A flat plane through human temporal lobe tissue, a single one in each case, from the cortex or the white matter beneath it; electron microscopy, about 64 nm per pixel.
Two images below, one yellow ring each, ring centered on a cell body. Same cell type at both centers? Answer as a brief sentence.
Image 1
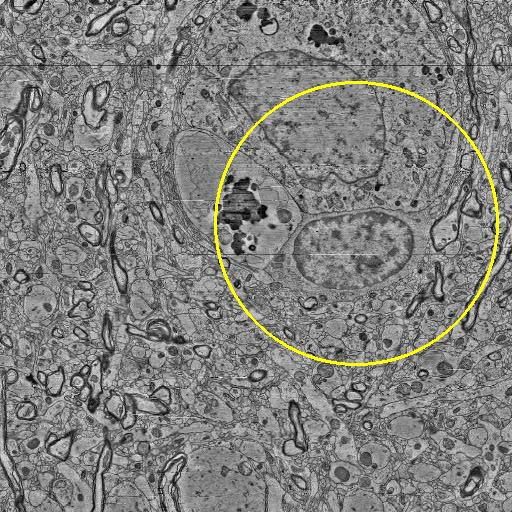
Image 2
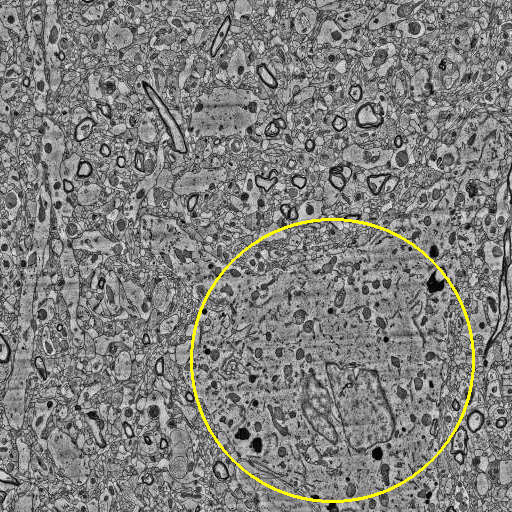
No, the cells are of two separate types.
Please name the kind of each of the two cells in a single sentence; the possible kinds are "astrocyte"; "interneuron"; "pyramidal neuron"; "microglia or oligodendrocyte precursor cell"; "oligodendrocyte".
In the first picture the ring is centred on an oligodendrocyte, and in the second on a pyramidal neuron.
